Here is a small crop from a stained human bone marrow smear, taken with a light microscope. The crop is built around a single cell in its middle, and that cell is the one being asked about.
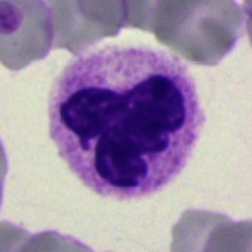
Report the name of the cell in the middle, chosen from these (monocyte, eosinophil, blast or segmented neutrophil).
segmented neutrophil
